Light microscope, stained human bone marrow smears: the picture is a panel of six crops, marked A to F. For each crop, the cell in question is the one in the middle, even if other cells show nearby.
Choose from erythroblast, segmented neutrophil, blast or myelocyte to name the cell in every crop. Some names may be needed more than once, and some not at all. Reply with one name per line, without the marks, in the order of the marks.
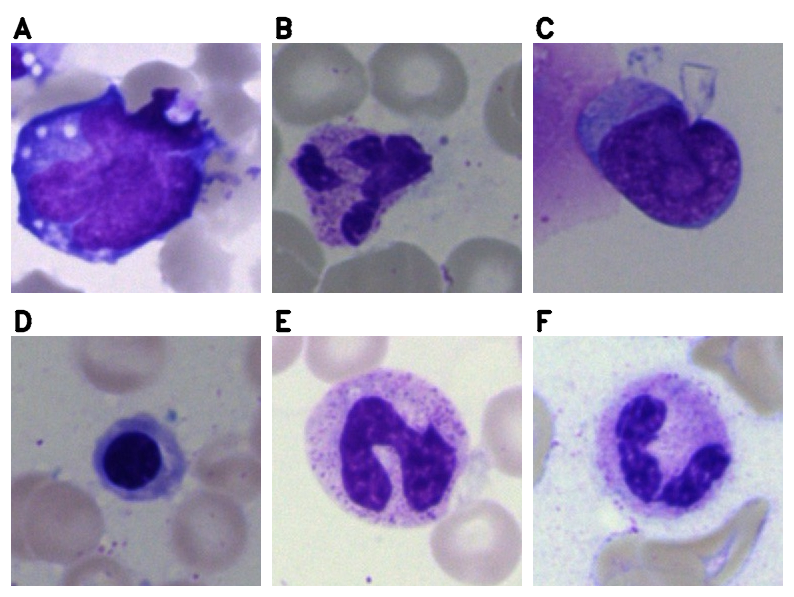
blast
segmented neutrophil
blast
erythroblast
segmented neutrophil
segmented neutrophil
